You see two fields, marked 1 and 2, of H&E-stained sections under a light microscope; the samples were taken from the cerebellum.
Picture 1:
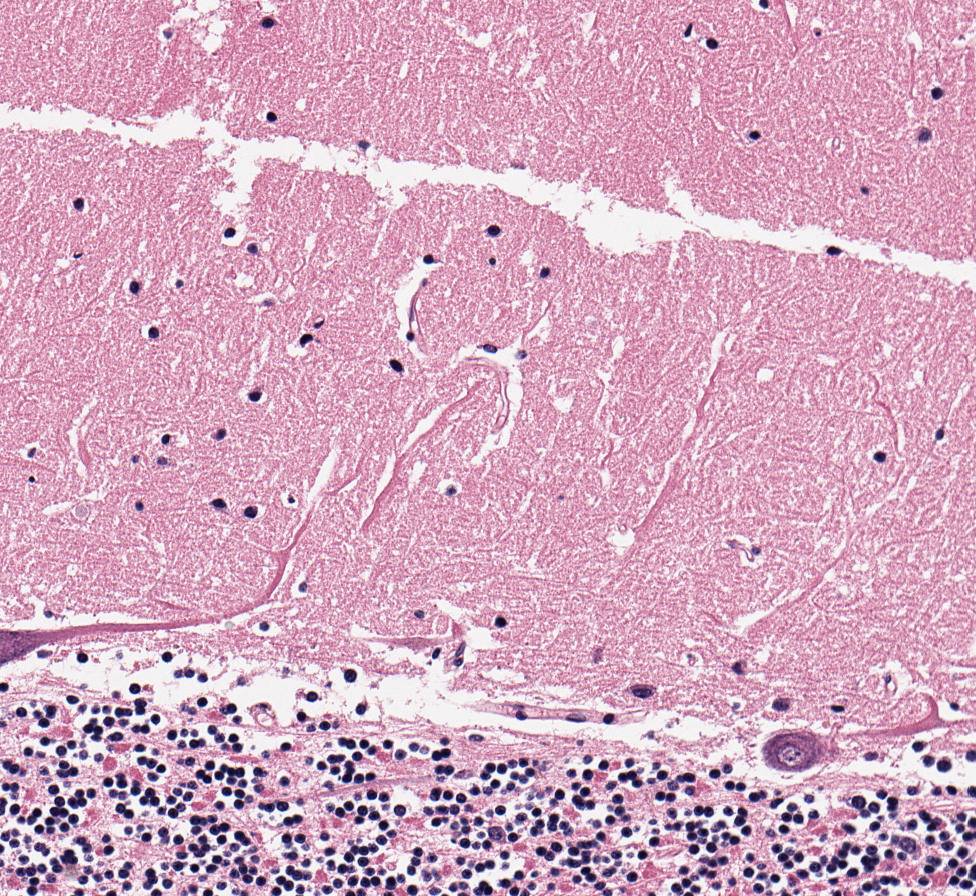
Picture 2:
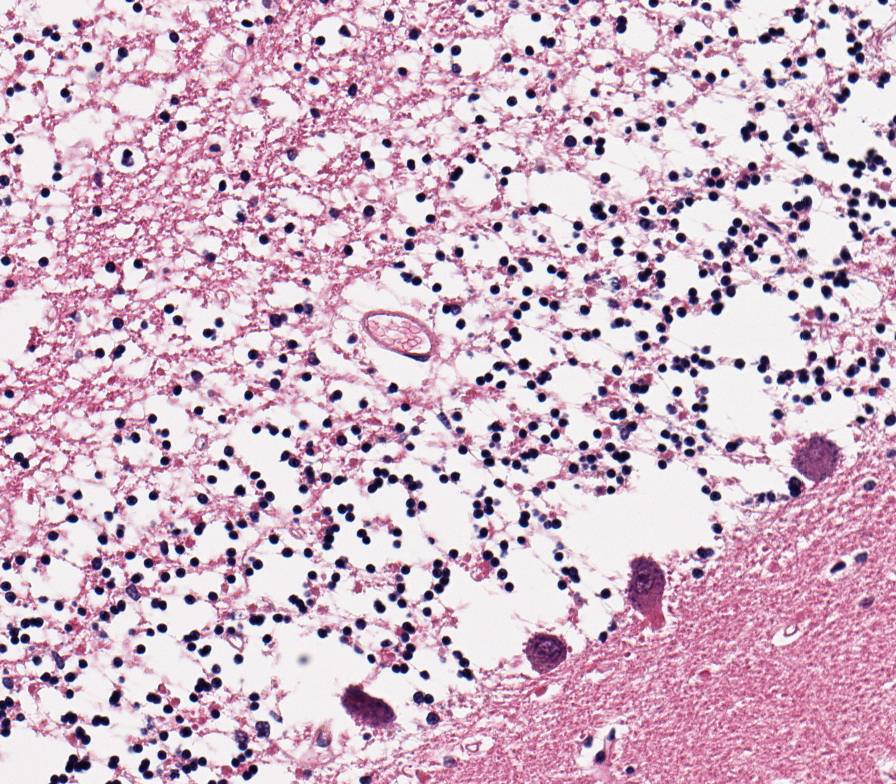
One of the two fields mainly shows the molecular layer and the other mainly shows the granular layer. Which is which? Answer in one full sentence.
Picture 1 mainly shows the molecular layer; picture 2 mainly shows the granular layer.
